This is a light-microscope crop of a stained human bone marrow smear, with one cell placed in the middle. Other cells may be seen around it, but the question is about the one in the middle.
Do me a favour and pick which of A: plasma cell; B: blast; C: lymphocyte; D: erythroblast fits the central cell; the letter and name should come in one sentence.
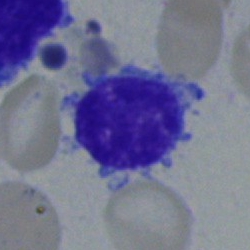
Here the right option is C, as the cell in the middle is a lymphocyte.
